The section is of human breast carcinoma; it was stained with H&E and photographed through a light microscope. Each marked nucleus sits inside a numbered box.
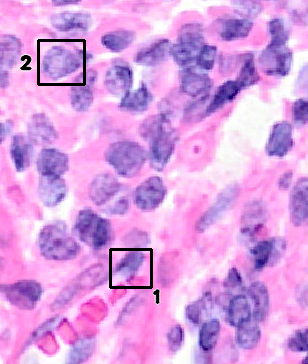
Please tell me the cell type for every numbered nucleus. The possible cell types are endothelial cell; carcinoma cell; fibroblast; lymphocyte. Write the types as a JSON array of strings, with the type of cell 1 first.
["endothelial cell", "carcinoma cell"]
